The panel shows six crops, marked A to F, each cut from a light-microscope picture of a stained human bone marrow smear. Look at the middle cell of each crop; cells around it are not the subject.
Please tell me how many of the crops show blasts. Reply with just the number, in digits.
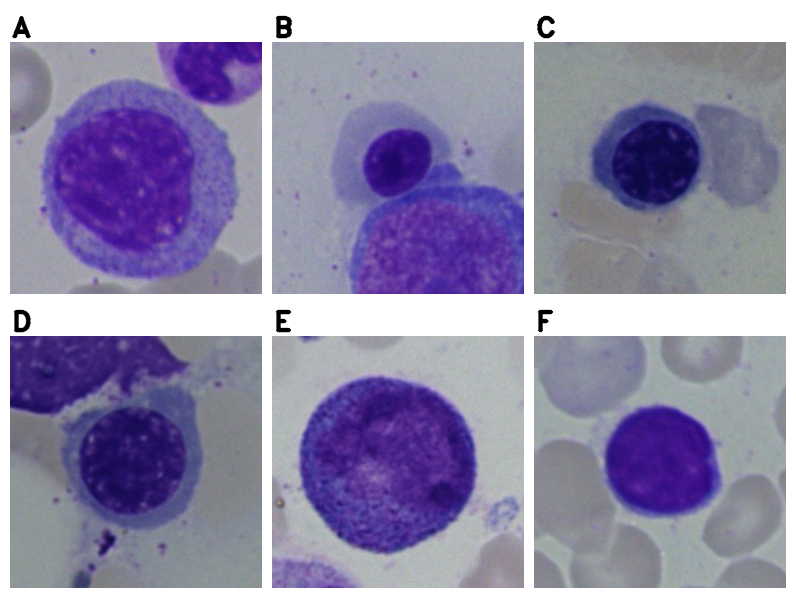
0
